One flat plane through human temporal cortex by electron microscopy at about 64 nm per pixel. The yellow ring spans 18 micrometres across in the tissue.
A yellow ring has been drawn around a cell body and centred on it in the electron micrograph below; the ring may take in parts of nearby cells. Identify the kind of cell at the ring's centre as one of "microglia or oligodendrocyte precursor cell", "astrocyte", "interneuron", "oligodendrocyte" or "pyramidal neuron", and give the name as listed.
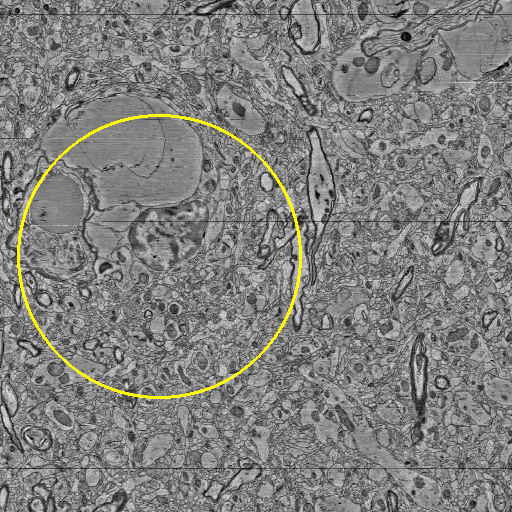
microglia or oligodendrocyte precursor cell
